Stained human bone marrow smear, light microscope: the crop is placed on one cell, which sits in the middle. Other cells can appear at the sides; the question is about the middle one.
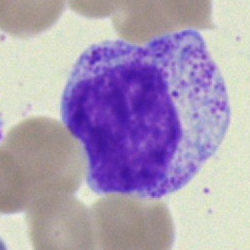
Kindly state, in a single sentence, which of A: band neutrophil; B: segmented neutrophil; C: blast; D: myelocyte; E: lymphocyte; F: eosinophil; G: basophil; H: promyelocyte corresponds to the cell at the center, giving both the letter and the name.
Option D holds, for the cell in the middle is a myelocyte.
